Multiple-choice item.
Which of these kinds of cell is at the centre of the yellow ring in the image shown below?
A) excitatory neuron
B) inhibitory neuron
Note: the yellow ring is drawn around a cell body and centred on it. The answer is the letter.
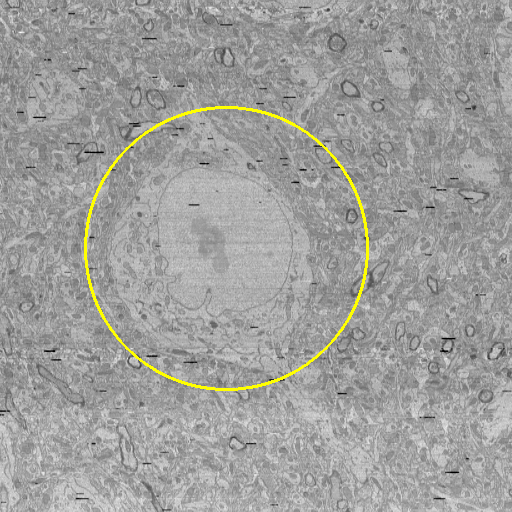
A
